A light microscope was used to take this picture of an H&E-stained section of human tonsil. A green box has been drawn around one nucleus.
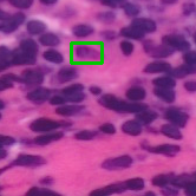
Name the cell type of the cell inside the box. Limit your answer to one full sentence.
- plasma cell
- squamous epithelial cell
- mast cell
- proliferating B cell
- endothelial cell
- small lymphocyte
In the tissue at hand, the cell inside the box is an endothelial cell.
